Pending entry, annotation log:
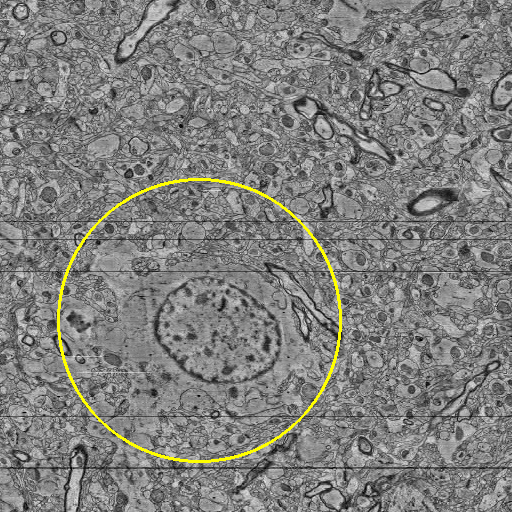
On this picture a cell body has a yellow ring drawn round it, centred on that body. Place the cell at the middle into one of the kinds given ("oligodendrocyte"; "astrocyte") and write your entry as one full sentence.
The cell body at the middle of the yellow ring belongs to an astrocyte.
